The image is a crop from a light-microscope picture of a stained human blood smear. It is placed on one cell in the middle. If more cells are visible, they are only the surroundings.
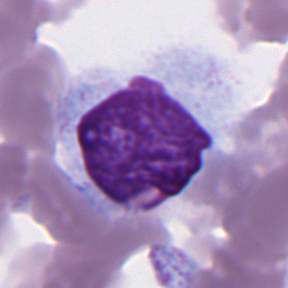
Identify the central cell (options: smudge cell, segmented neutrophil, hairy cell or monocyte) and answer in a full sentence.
The cell in the exact centre of the crop is a monocyte.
